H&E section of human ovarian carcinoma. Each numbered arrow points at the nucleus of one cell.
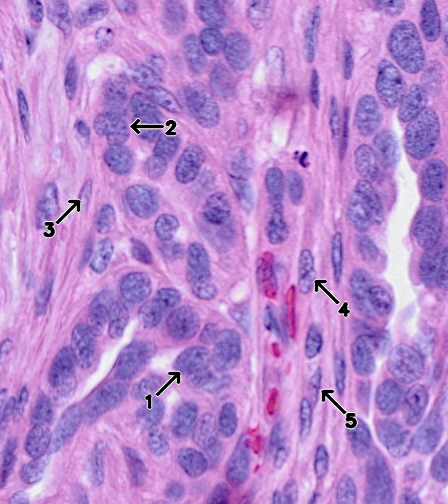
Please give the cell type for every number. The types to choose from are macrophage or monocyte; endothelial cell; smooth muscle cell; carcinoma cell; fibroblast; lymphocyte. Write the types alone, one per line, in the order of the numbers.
carcinoma cell
carcinoma cell
fibroblast
fibroblast
fibroblast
